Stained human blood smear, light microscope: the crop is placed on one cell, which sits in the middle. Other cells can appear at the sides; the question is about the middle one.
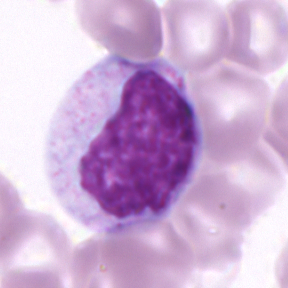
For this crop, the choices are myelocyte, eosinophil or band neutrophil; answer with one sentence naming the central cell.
Looking at the middle of the crop, the cell there is a myelocyte.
